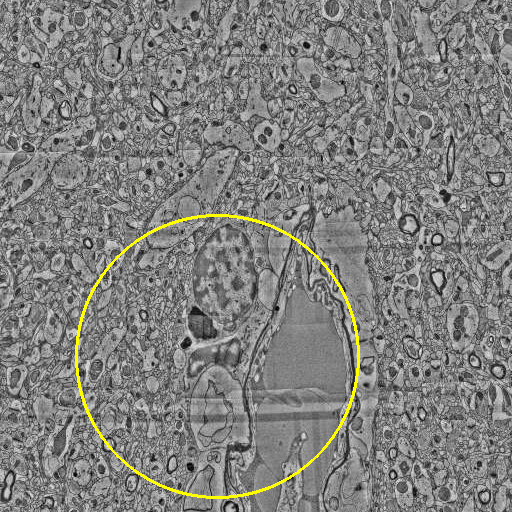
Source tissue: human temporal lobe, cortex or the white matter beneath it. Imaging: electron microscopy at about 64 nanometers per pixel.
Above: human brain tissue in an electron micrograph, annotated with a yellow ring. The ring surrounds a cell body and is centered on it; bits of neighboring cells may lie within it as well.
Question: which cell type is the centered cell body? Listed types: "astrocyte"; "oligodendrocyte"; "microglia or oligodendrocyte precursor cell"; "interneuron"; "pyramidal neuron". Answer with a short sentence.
The centered cell body is a microglial cell or oligodendrocyte precursor cell.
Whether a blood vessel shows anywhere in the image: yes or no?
Yes.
